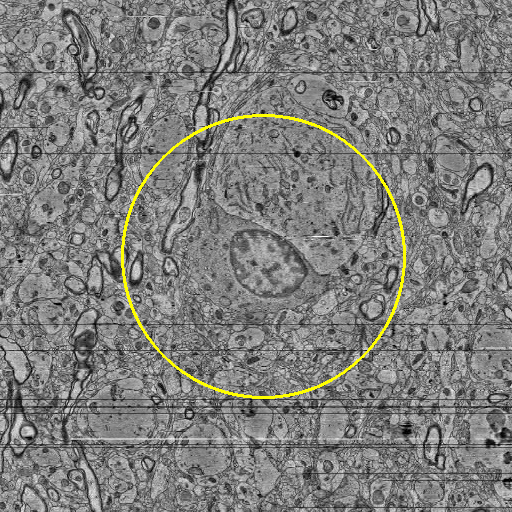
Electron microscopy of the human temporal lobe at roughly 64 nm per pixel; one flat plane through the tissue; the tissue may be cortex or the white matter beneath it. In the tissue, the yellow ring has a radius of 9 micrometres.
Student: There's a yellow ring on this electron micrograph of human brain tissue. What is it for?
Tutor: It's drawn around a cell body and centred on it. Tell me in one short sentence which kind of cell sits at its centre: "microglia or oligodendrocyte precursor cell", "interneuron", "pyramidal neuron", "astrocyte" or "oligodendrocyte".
The cell at the centre of the ring is an oligodendrocyte.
